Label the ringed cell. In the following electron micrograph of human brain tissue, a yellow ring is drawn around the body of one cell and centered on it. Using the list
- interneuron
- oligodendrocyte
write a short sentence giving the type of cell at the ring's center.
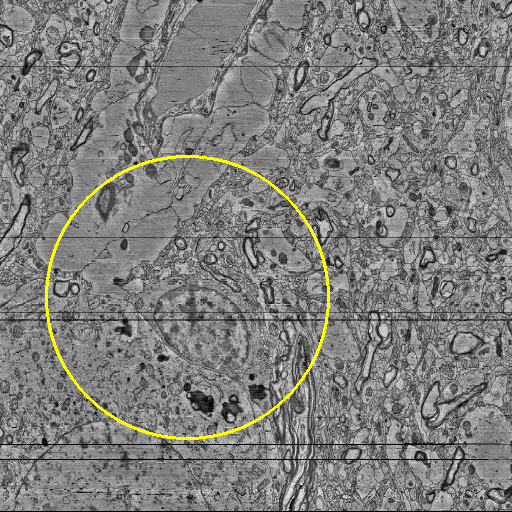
The cell body at the ring's center is that of an oligodendrocyte.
